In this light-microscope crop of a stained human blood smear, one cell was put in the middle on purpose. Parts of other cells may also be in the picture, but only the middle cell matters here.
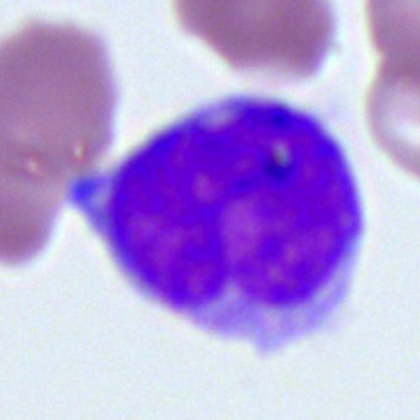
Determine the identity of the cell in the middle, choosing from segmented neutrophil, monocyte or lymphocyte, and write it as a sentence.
The crop's centre is taken up by a monocyte.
